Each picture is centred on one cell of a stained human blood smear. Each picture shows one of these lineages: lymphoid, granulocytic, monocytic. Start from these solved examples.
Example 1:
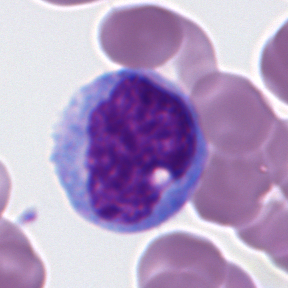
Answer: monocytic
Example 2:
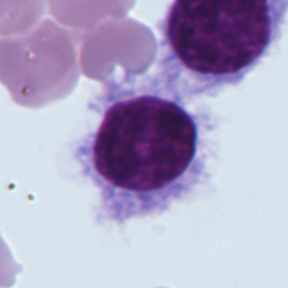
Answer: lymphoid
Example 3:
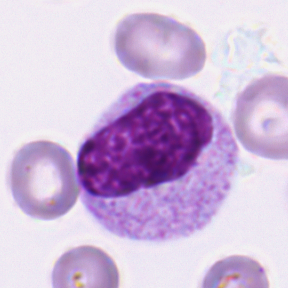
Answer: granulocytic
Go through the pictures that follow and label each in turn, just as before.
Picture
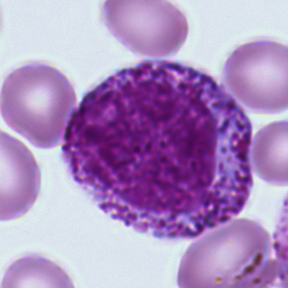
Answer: granulocytic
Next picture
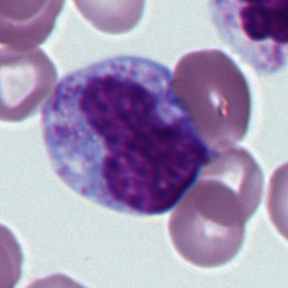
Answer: monocytic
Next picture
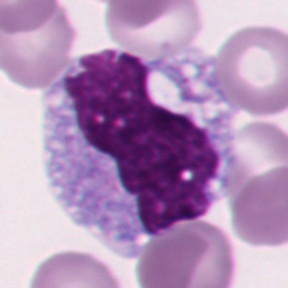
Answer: monocytic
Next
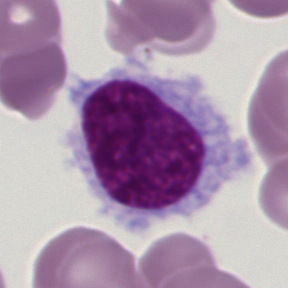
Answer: lymphoid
